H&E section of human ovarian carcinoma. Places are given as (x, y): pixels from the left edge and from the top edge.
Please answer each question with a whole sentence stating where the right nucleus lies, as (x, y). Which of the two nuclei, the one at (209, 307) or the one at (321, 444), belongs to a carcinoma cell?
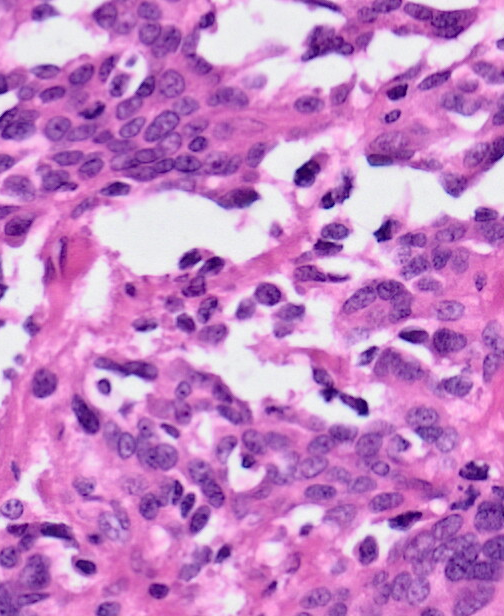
Between the two nuclei, the one sitting at (321, 444) belongs to a carcinoma cell.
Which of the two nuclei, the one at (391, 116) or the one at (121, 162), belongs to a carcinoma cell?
It is the nucleus at (121, 162) that belongs to a carcinoma cell.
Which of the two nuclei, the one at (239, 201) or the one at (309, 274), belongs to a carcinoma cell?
Of the two nuclei, that at (239, 201) is the nucleus of a carcinoma cell.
